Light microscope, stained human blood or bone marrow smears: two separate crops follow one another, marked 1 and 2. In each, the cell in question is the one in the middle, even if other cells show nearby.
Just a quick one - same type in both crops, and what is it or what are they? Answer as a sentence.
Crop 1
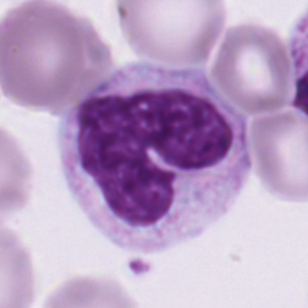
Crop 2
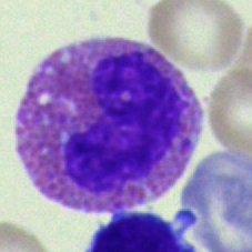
No, crop 1 presents a band neutrophil; crop 2 presents an eosinophil.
